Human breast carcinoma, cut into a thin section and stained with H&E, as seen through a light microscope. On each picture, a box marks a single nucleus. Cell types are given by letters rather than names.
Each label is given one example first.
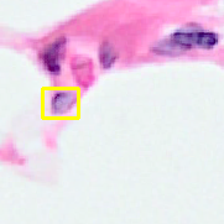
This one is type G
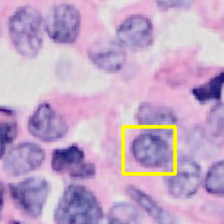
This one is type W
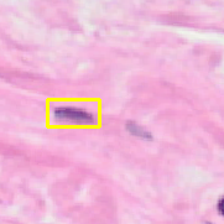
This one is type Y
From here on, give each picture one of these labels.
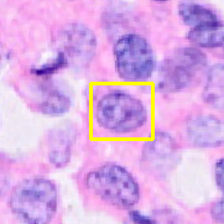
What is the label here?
type W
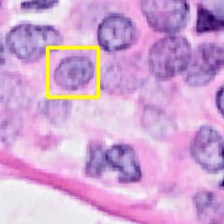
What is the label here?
type W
